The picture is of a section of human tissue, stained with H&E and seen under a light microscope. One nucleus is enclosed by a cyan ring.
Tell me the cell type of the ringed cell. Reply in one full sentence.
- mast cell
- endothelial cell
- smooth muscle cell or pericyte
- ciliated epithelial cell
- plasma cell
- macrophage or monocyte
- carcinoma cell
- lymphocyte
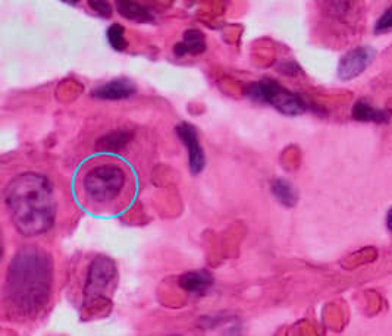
In this section, the ringed cell is a macrophage or monocyte.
